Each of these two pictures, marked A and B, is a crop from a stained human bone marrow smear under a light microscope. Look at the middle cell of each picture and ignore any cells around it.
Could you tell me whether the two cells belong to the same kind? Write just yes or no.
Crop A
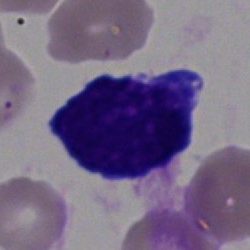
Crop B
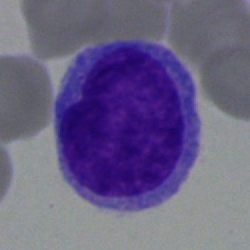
yes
